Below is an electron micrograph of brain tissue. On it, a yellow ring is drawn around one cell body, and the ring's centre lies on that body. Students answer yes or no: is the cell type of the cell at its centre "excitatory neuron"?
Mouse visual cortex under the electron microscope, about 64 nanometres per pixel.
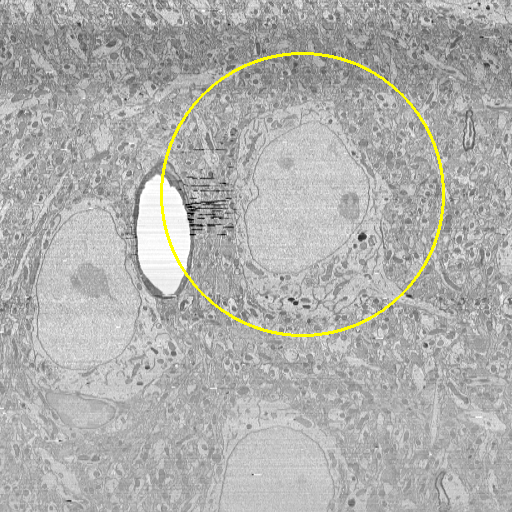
yes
